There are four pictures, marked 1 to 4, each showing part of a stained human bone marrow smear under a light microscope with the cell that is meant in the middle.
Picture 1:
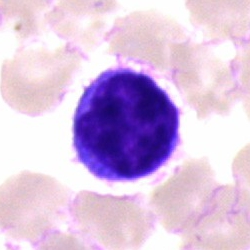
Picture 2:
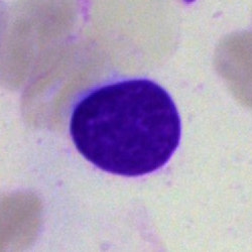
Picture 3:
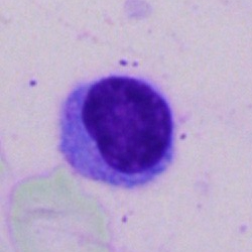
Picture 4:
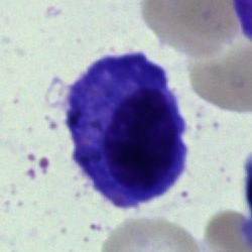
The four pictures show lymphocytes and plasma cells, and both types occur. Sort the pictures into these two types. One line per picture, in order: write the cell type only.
lymphocyte
lymphocyte
lymphocyte
plasma cell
